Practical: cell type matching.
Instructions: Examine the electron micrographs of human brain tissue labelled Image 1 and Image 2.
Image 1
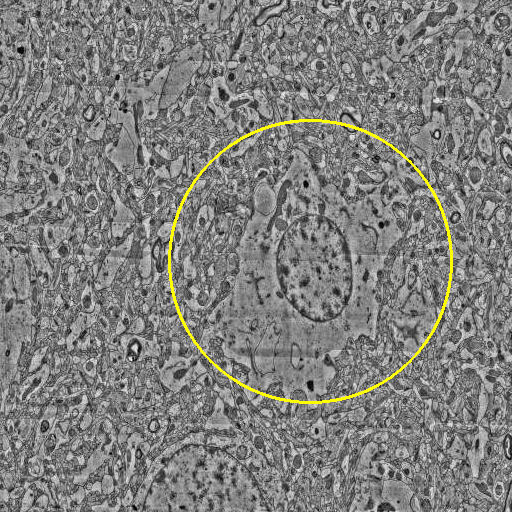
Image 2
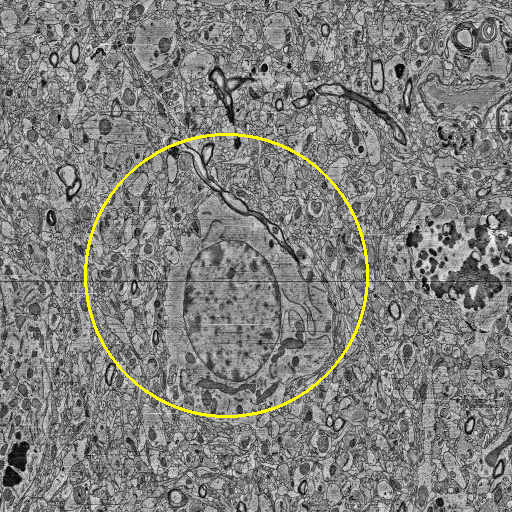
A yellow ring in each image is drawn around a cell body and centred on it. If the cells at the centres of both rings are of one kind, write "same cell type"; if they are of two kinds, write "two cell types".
same cell type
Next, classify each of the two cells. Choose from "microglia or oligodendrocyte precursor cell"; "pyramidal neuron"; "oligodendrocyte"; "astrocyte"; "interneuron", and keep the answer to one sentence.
Both the first and the second picture show an astrocyte in the ring.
